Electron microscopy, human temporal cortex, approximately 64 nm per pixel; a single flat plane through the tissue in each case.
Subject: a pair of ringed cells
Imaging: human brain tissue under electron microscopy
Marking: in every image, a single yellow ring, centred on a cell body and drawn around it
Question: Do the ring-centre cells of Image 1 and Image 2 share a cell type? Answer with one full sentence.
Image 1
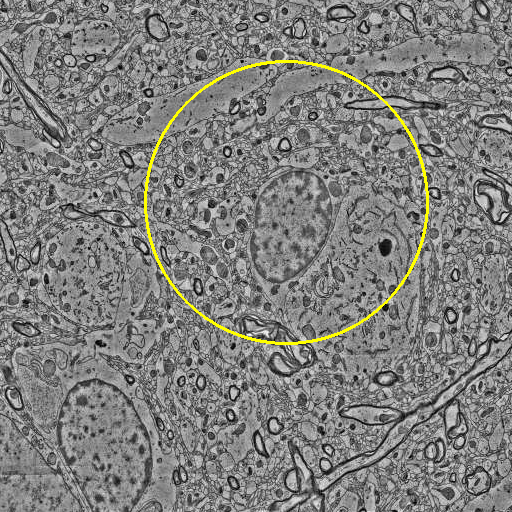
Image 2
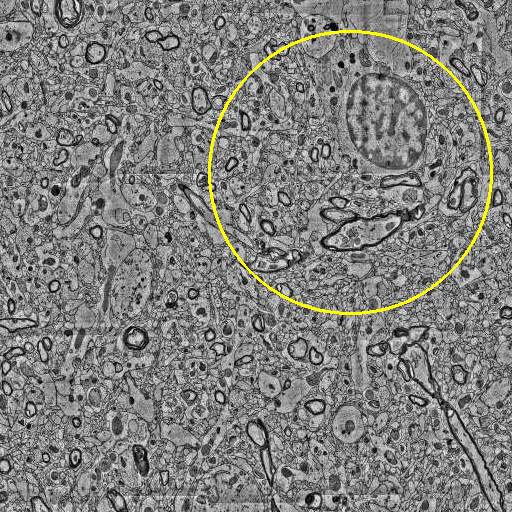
Yes, at each ring's centre in the images sits a cell of one common type.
